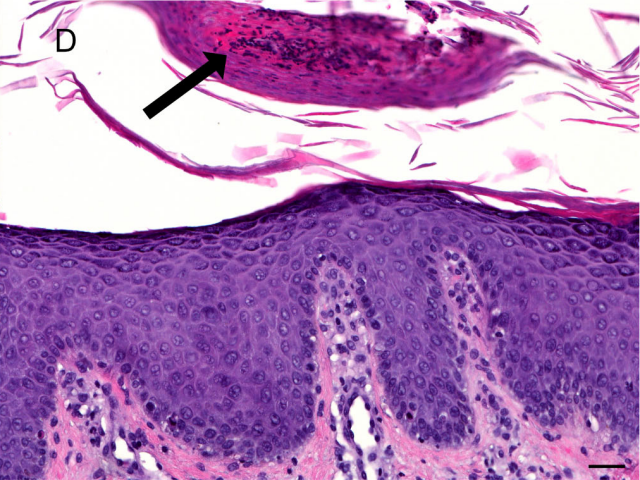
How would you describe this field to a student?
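This is thickened epidermis at higher power, with broad rete ridges of stratified squamous keratinocytes reaching down between narrow dermal papillae. The papillae hold open, thin-walled capillaries and a few scattered small round nuclei. Above the surface a detached, layered pink cornified sheet still contains flattened nuclei, and within it sits a dense cluster of small dark nuclei.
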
